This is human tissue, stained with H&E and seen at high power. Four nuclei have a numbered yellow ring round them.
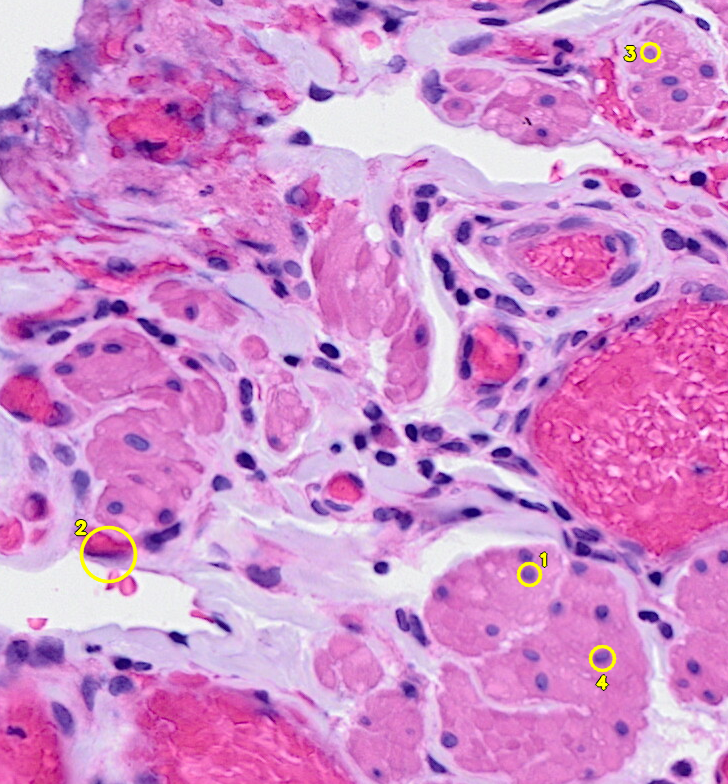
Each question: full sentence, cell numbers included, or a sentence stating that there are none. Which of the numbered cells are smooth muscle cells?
The cells numbered 1, 3 and 4 fall into the category of smooth muscle cells.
